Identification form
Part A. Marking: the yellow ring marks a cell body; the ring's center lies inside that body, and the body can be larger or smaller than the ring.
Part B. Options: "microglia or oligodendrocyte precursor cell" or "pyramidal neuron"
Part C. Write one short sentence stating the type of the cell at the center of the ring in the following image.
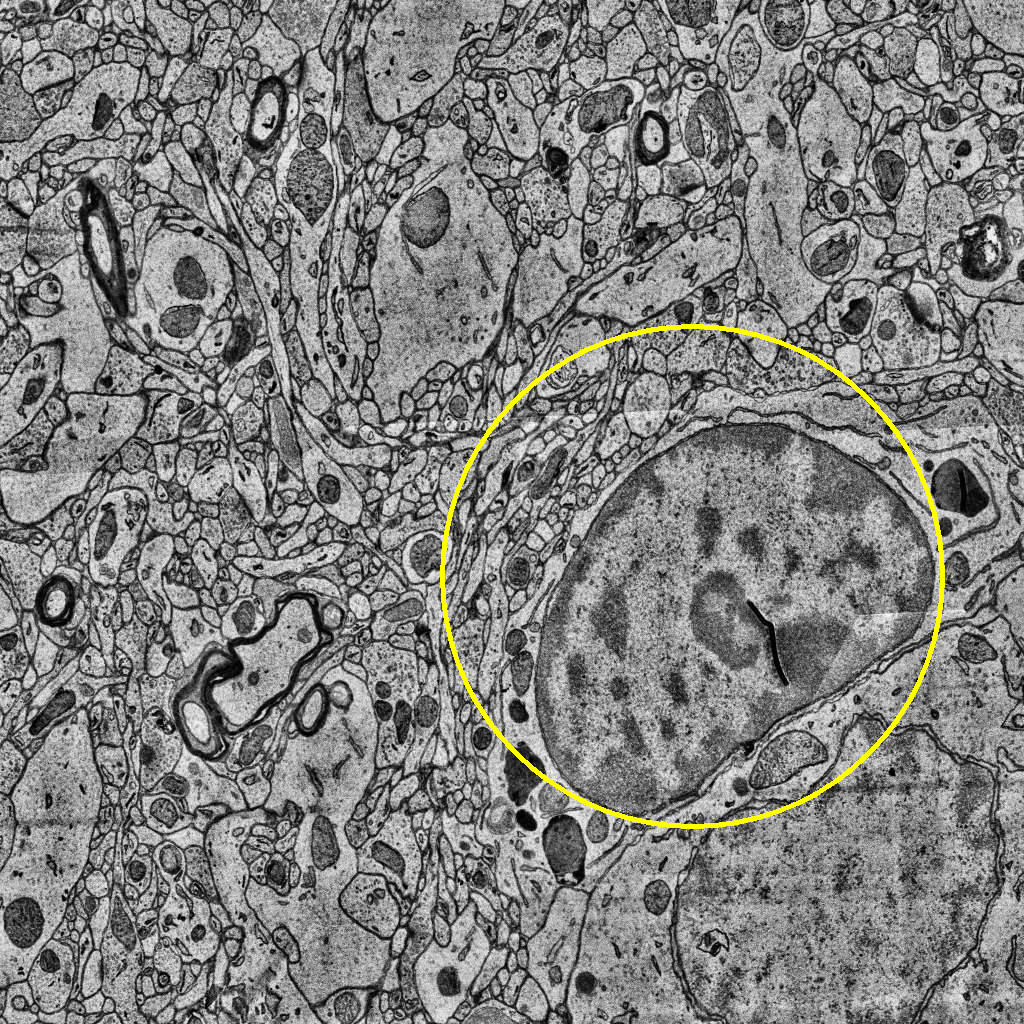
The center of the ring holds a microglial cell or oligodendrocyte precursor cell.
